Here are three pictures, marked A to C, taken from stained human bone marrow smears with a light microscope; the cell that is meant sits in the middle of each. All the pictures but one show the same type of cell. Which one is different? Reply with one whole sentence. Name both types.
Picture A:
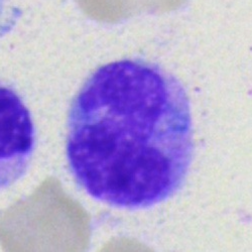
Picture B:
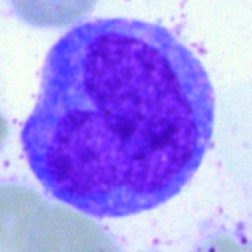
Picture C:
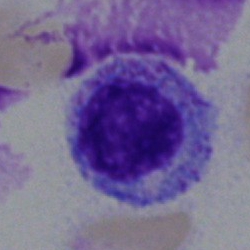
The others show monocytes, but picture C shows a myelocyte.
